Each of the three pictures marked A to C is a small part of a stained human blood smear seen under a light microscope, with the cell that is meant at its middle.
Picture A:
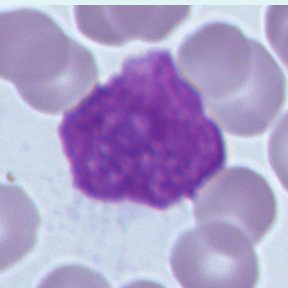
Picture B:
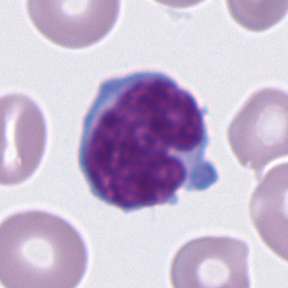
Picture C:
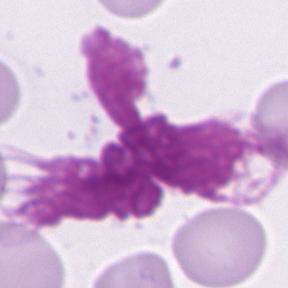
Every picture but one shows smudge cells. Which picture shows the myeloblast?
B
